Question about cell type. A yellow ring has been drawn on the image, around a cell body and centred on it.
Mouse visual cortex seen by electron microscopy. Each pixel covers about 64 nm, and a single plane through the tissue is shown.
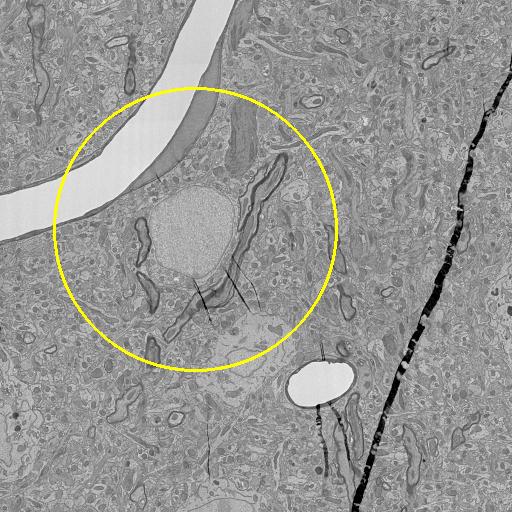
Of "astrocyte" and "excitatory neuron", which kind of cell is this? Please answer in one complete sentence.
At the centre of the ring lies an astrocyte.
